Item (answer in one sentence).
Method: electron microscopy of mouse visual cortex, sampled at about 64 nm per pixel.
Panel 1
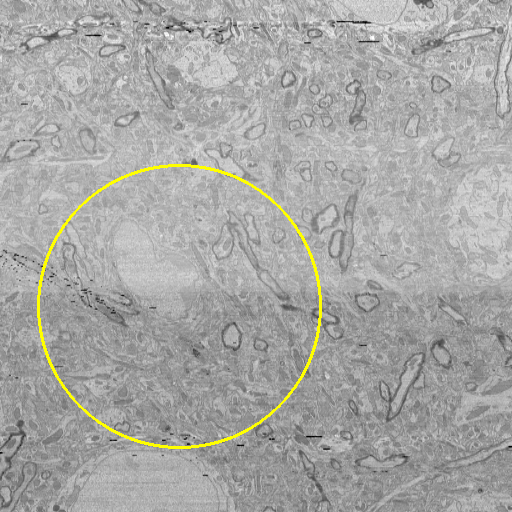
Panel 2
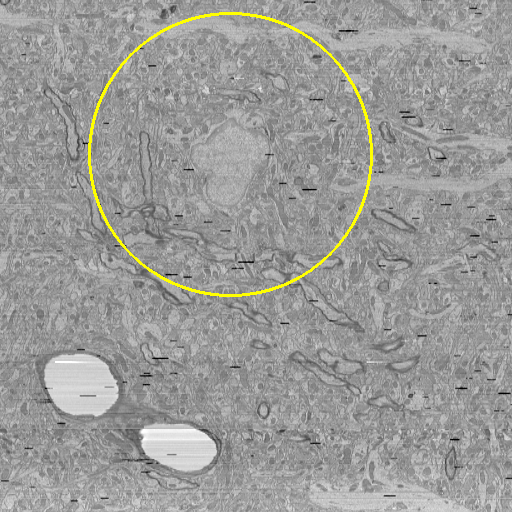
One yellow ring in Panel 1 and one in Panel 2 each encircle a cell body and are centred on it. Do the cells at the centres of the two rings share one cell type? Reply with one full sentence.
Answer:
Yes, Panel 1 and Panel 2 show cells of one type at the centres of their rings.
